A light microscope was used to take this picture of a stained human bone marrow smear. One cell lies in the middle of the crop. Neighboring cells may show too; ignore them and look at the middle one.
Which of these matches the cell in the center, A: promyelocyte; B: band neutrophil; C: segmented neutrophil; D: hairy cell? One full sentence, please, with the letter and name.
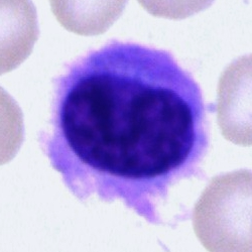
Option D is the right choice, the central cell being a hairy cell.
